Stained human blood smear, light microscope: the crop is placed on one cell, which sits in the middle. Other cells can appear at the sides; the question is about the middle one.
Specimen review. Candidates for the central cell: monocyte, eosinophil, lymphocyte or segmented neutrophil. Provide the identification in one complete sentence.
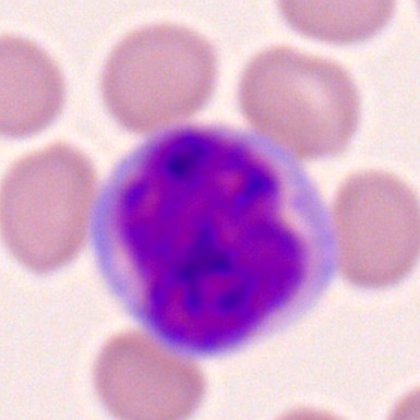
As for the central cell, it is a monocyte.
